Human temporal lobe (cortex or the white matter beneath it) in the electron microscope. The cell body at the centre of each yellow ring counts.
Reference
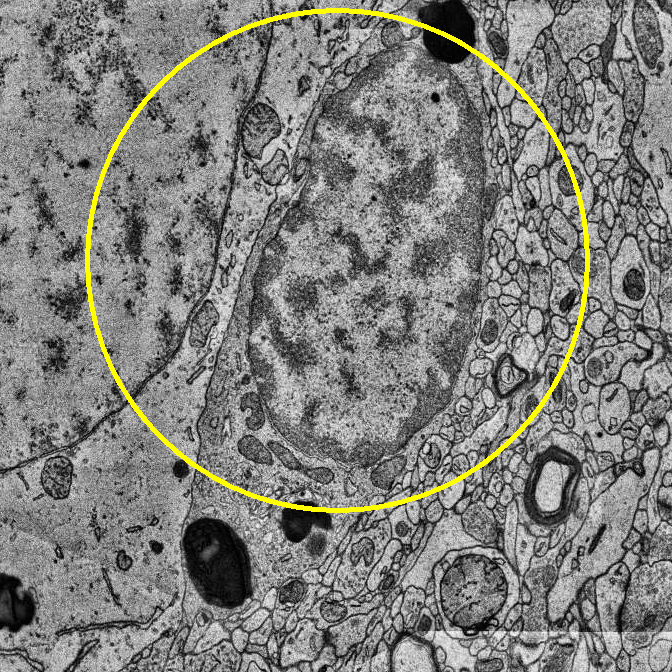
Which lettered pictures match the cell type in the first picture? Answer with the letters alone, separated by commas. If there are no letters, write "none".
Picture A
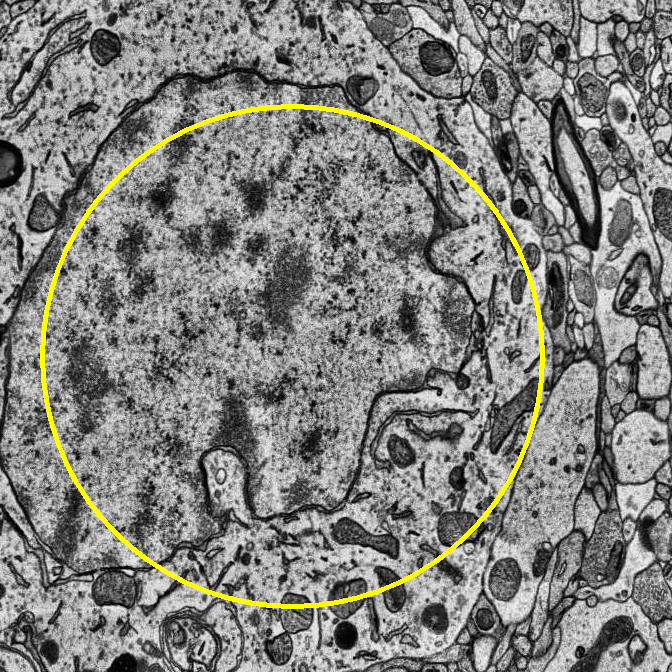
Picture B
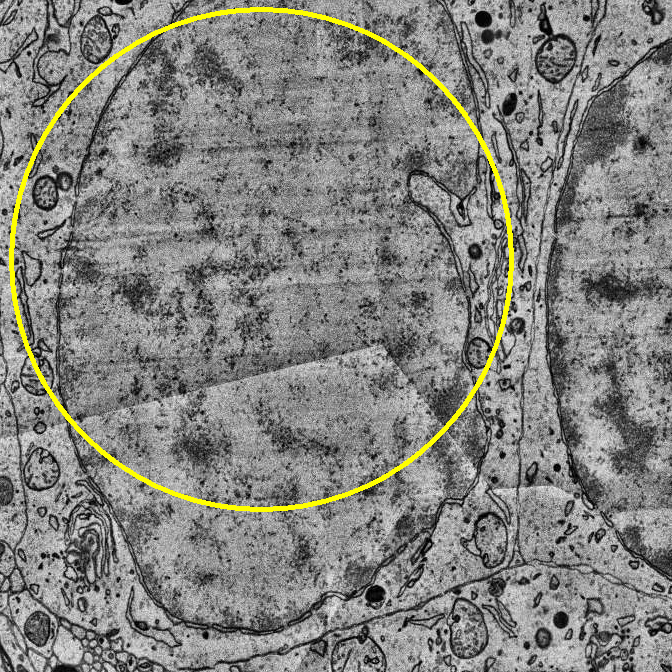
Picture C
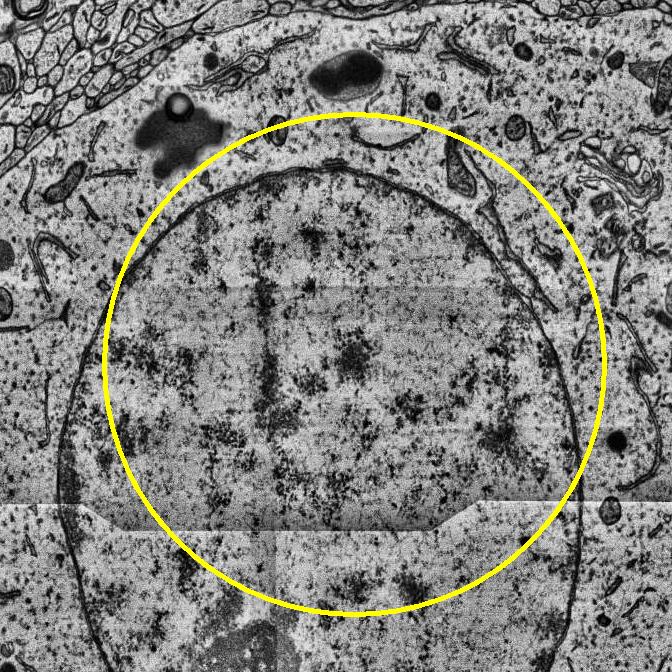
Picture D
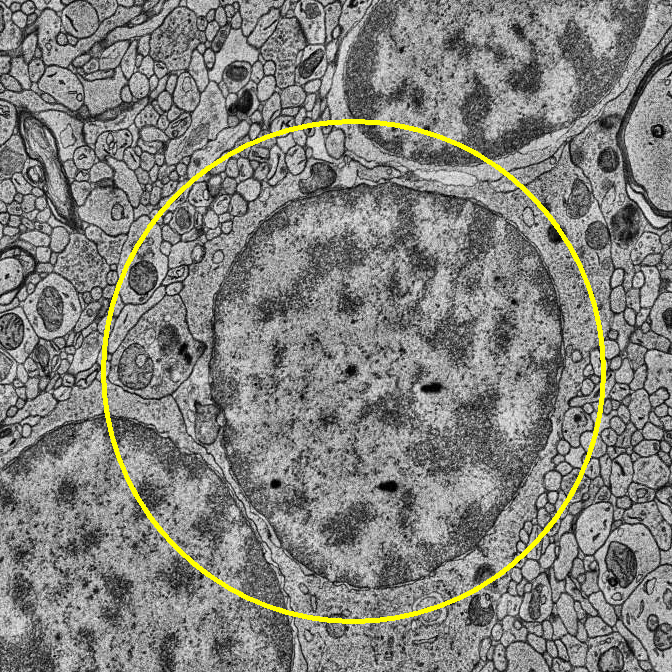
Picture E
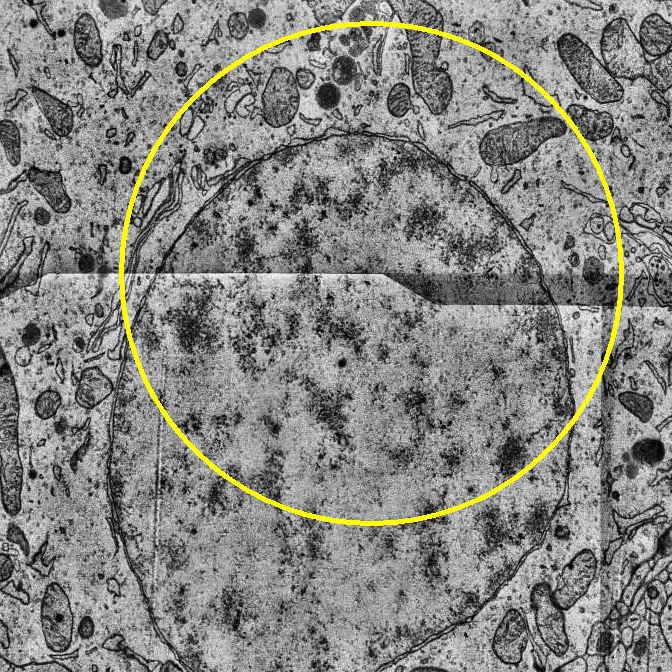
D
